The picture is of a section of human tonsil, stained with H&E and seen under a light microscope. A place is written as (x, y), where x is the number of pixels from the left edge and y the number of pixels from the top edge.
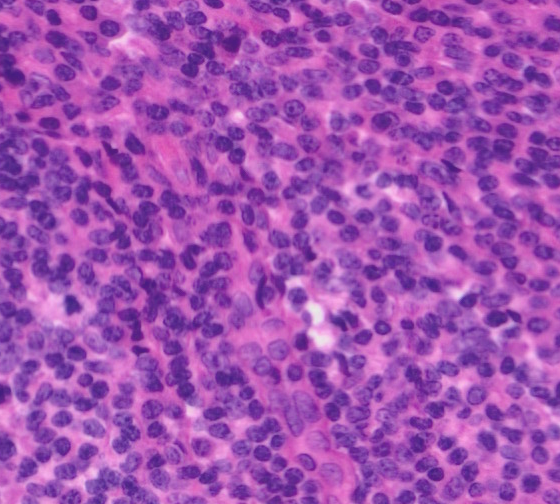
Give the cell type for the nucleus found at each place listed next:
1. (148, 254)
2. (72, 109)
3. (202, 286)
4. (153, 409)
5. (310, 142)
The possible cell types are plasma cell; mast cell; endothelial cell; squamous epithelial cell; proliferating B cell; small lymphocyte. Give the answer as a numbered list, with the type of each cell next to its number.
1. small lymphocyte
2. plasma cell
3. small lymphocyte
4. plasma cell
5. plasma cell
